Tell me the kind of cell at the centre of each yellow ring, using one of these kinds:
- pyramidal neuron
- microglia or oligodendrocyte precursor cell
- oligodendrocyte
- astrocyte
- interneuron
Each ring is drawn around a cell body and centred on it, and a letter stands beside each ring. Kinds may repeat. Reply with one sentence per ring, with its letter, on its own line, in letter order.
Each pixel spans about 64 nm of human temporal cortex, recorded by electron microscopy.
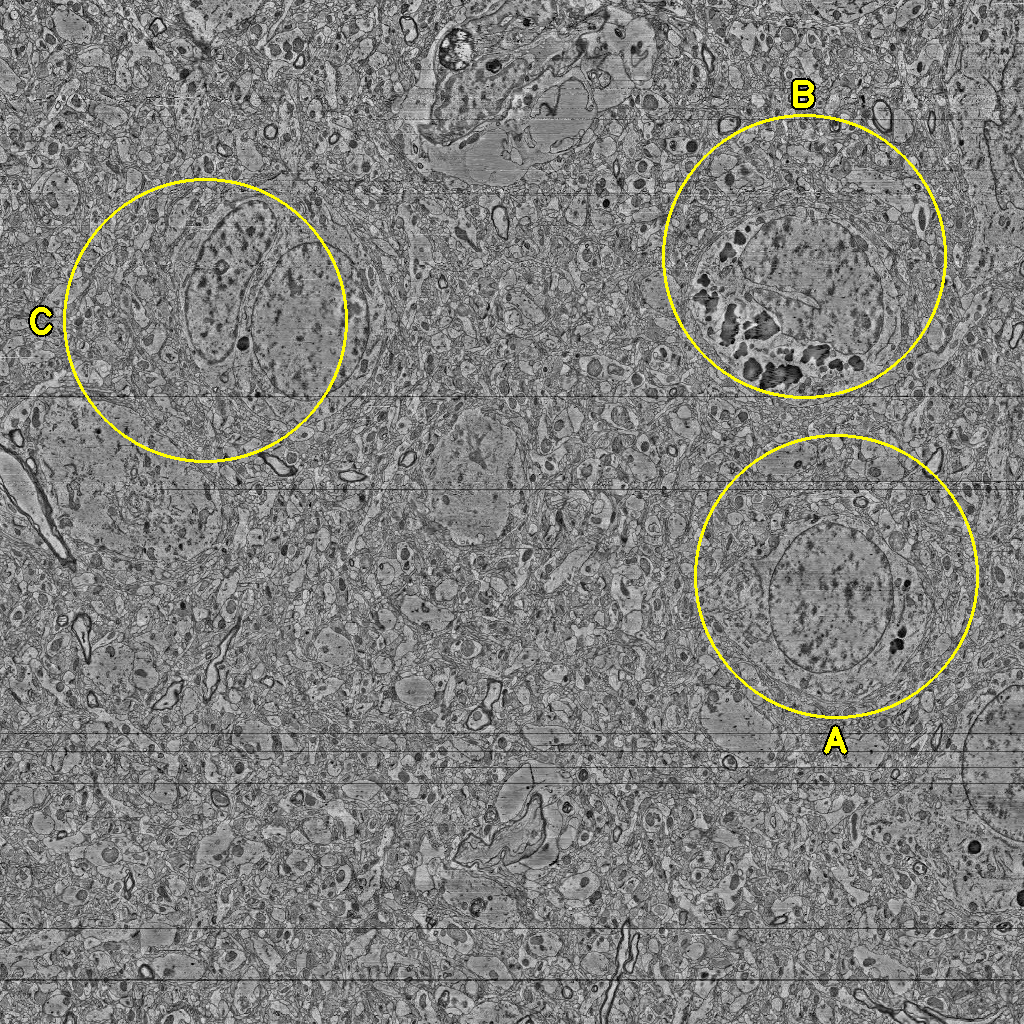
The ring labelled A is centred on a pyramidal neuron.
The ring labelled B is centred on an interneuron.
The ring labelled C is centred on a microglial cell or oligodendrocyte precursor cell.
